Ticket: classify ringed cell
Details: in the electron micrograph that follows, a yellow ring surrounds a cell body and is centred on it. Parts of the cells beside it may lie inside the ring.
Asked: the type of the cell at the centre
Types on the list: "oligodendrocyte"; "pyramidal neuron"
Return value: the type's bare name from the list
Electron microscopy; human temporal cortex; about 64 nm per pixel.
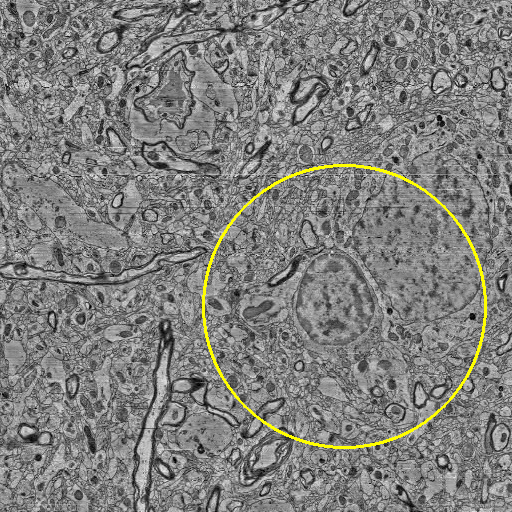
oligodendrocyte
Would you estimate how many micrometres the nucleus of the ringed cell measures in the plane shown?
Approximately 6 x 5 micrometres in this plane.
